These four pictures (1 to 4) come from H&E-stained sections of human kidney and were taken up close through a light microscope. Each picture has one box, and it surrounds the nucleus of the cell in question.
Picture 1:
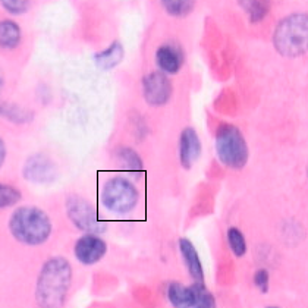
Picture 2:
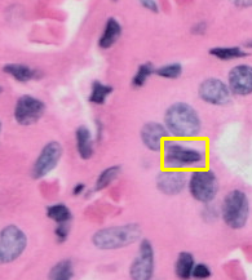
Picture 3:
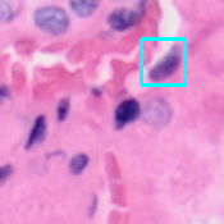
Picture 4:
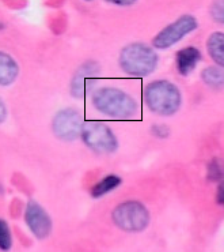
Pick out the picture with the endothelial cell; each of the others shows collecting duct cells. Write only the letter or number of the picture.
3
